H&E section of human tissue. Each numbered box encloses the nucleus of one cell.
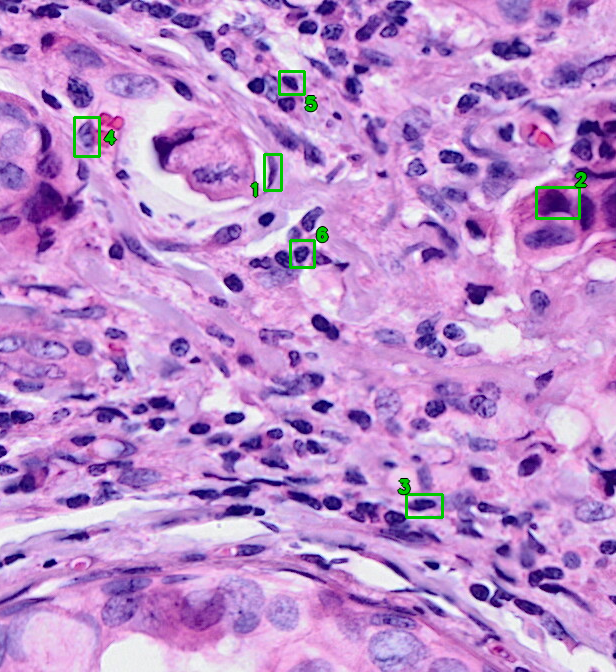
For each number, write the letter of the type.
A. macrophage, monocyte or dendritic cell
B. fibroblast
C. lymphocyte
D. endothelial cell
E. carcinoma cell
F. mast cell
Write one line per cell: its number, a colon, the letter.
1: B
2: E
3: C
4: D
5: C
6: C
